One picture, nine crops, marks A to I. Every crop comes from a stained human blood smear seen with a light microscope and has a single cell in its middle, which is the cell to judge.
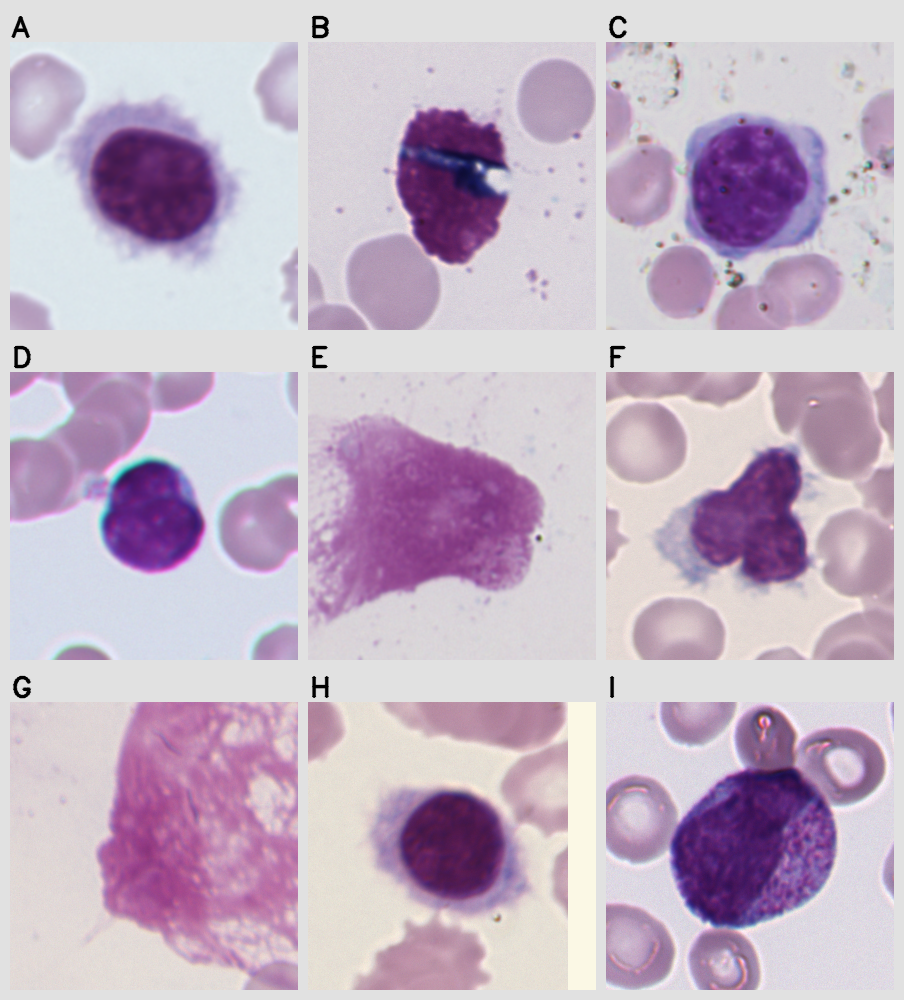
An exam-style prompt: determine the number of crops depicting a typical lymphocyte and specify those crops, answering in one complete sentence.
Of the crops presented, the one depicting a typical lymphocyte is crop D.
